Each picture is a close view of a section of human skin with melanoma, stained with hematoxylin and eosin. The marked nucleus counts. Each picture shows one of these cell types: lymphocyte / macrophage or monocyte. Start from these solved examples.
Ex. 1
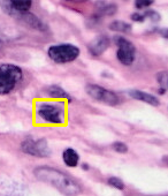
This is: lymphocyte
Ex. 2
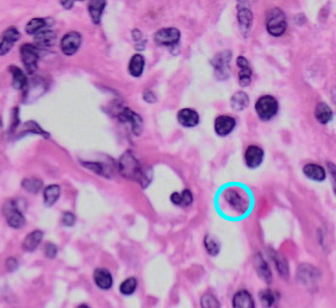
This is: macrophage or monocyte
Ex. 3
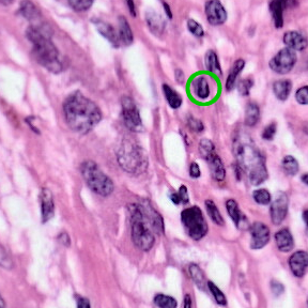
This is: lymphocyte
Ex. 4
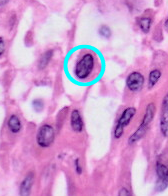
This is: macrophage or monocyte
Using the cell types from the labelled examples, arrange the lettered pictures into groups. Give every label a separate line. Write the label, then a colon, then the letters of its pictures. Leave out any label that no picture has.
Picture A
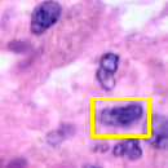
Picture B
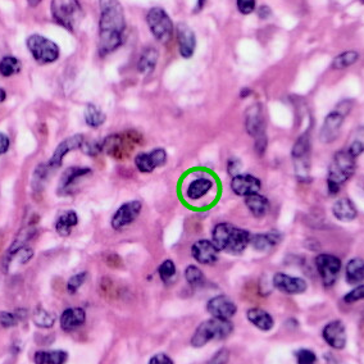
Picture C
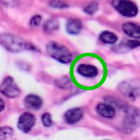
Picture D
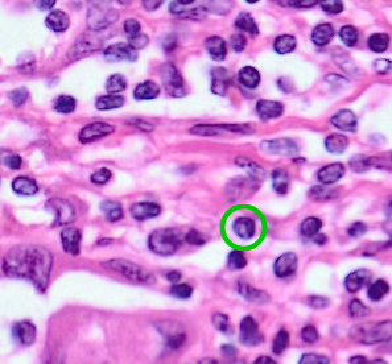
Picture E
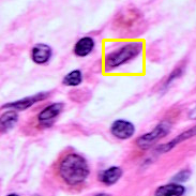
lymphocyte: B, C, D
macrophage or monocyte: A, E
